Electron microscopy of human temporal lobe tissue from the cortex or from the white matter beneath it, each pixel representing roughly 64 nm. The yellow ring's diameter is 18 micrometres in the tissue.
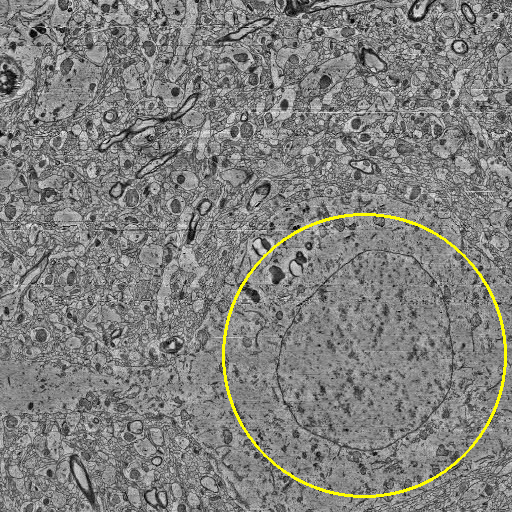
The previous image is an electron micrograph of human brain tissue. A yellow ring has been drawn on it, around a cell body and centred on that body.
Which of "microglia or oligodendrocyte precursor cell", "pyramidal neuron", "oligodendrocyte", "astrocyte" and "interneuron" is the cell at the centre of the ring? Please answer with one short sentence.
The cell body at the centre of the ring belongs to a pyramidal neuron.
